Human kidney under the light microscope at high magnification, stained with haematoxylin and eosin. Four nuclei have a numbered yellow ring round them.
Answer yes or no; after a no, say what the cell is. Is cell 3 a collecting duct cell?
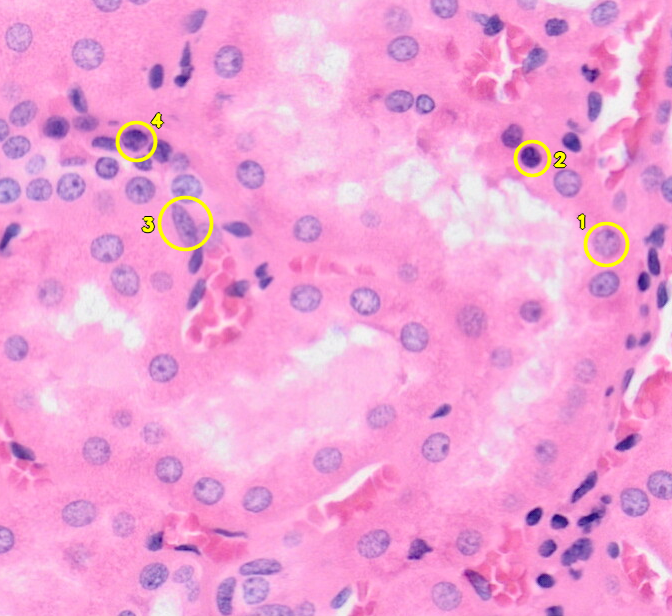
Yes.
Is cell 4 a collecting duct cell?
Yes.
